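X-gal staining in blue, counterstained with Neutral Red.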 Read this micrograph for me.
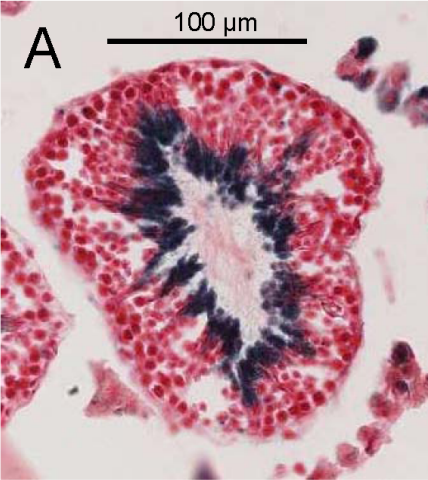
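This is a cross-sectioned seminiferous tubule with a thick stratified epithelium of germ cells whose round nuclei stain red. The cells are arranged in several layers from the outer boundary of the tubule toward the central lumen. Blue stain is confined to the innermost cells bordering the lumen, where elongated dark blue strands radiate into the lumen. The outer layers of the epithelium show no blue.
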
